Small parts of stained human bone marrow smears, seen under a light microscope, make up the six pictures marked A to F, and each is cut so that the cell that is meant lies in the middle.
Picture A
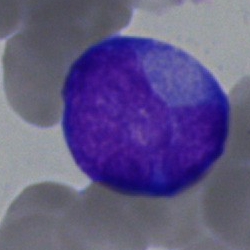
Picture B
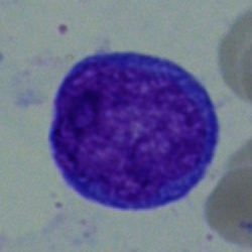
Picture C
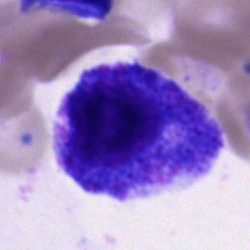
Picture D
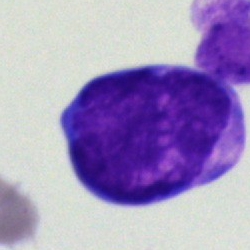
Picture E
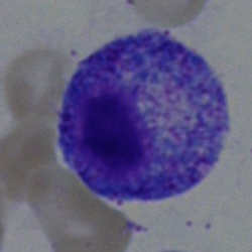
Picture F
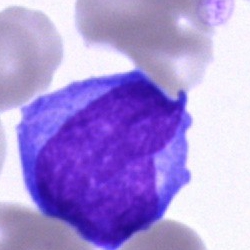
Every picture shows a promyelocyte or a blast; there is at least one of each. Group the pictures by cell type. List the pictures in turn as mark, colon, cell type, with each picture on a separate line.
A: blast
B: blast
C: promyelocyte
D: blast
E: promyelocyte
F: blast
